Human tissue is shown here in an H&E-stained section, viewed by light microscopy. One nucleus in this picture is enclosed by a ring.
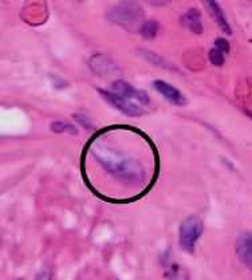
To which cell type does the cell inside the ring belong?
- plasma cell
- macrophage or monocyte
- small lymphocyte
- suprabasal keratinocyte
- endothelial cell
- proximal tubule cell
endothelial cell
